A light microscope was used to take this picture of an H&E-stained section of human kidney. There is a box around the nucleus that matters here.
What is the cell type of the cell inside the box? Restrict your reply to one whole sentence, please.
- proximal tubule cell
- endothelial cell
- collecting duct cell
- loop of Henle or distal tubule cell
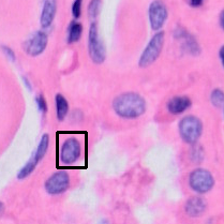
As far as its identity is concerned, the cell inside the box is a loop of Henle or distal tubule cell.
